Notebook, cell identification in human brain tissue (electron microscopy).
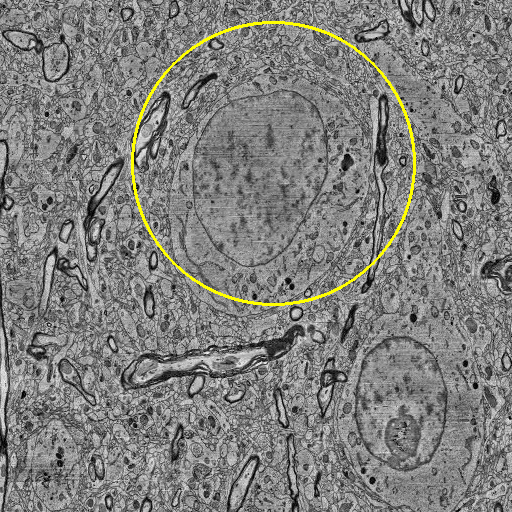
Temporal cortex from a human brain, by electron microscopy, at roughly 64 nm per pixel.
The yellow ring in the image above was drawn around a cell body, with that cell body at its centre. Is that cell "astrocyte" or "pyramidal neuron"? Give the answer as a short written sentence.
The cell in the ring is a pyramidal neuron.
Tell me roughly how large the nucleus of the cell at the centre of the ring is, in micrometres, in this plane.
In this plane, about 12 micrometres in length and 9 in width.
